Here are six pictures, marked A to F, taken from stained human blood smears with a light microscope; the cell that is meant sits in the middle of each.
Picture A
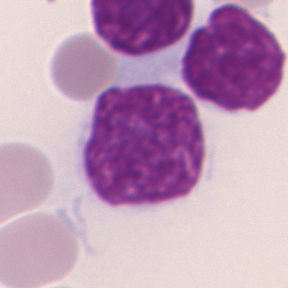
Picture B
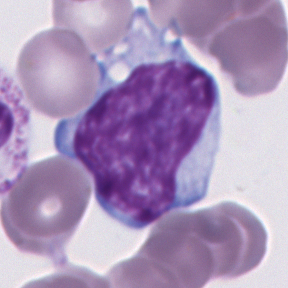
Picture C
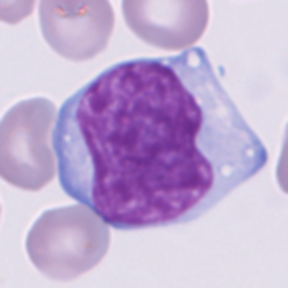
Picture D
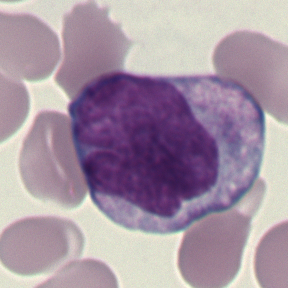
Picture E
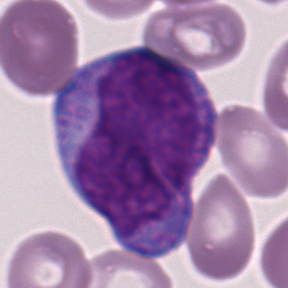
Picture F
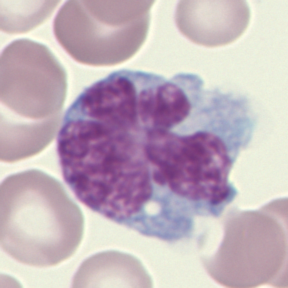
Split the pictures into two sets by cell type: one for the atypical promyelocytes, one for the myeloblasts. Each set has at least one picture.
A: myeloblast
B: myeloblast
C: myeloblast
D: atypical promyelocyte
E: atypical promyelocyte
F: myeloblast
